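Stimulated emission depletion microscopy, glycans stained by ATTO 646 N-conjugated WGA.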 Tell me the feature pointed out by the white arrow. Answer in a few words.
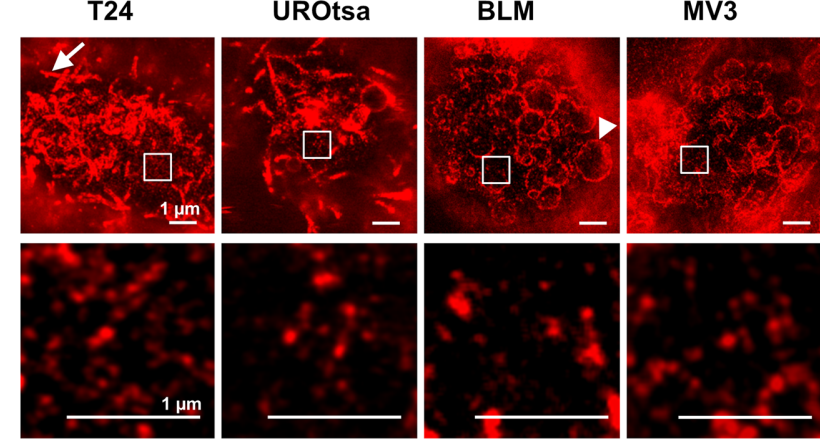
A: tube-like cellular protrusions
